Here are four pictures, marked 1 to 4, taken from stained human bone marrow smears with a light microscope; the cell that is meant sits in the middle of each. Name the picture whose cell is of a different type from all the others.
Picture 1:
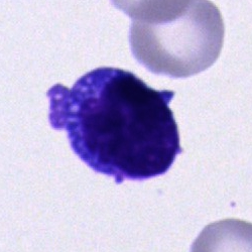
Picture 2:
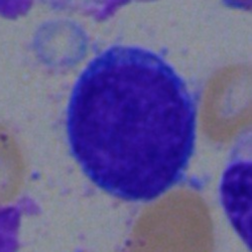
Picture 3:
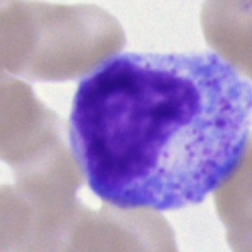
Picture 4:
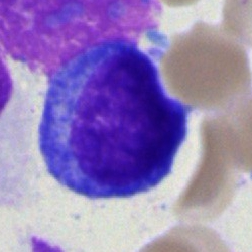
3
